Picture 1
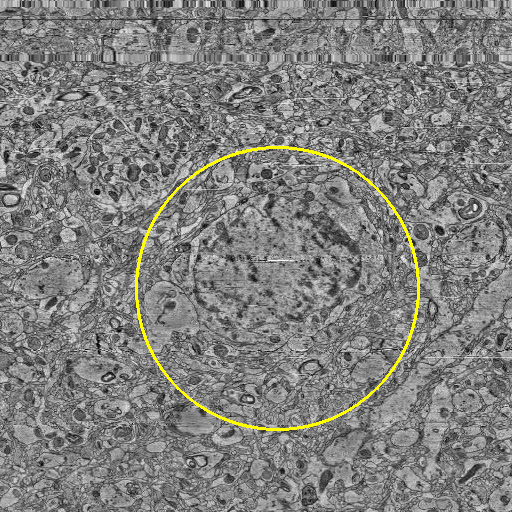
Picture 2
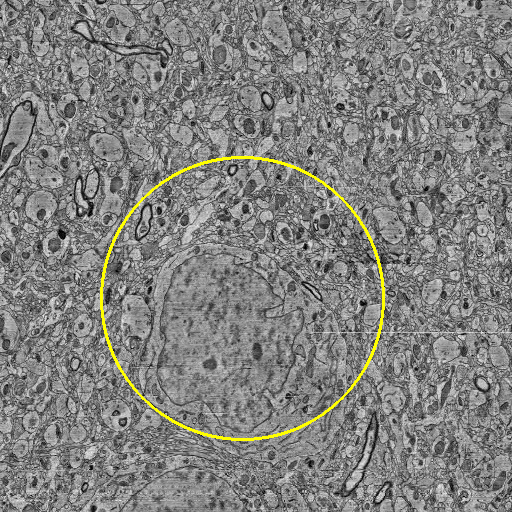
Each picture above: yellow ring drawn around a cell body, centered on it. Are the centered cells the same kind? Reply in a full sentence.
Yes, the two cells are the same kind.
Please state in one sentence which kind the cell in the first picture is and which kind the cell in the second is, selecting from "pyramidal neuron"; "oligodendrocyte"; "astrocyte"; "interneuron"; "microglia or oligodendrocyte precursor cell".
In the first picture and in the second, the ring is centred on an interneuron.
